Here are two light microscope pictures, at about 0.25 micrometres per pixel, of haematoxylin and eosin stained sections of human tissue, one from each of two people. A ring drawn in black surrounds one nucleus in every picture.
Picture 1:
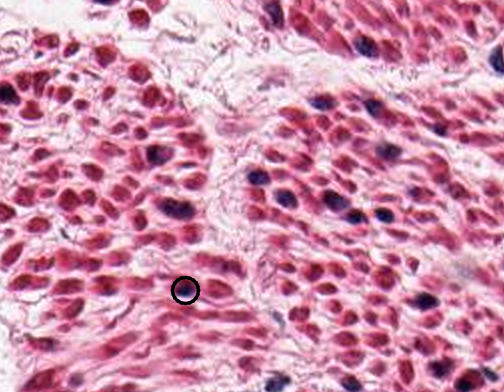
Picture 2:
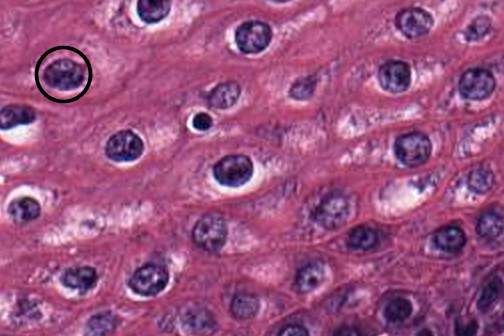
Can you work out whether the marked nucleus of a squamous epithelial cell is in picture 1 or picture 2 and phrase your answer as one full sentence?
The nucleus of a squamous epithelial cell is what is marked in picture 2.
